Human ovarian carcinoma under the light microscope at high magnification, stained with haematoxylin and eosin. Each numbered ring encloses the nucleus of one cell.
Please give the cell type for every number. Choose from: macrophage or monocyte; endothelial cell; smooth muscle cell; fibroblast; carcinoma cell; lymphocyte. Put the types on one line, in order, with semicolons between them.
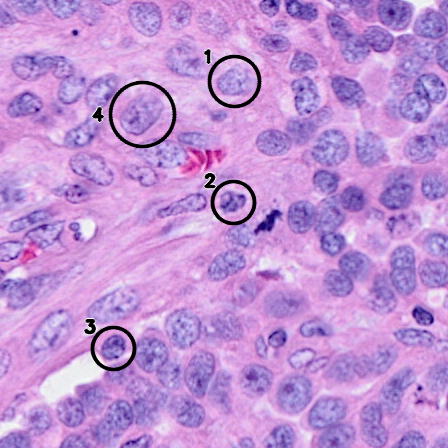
fibroblast; lymphocyte; macrophage or monocyte; fibroblast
